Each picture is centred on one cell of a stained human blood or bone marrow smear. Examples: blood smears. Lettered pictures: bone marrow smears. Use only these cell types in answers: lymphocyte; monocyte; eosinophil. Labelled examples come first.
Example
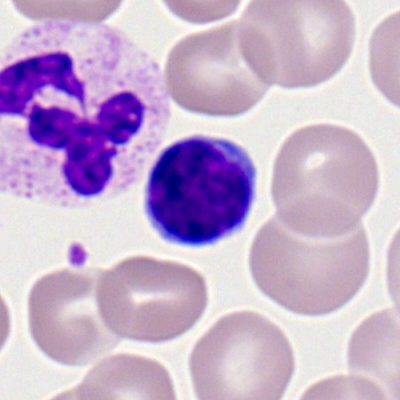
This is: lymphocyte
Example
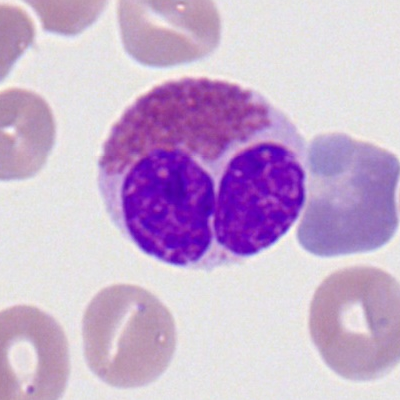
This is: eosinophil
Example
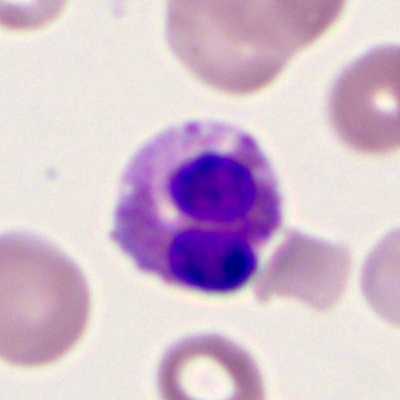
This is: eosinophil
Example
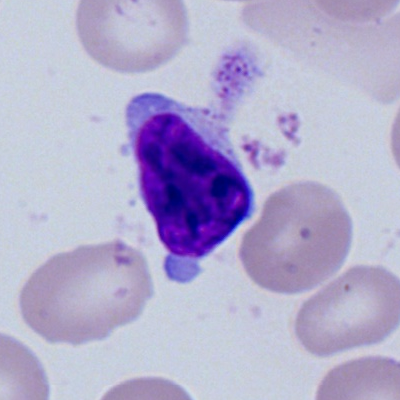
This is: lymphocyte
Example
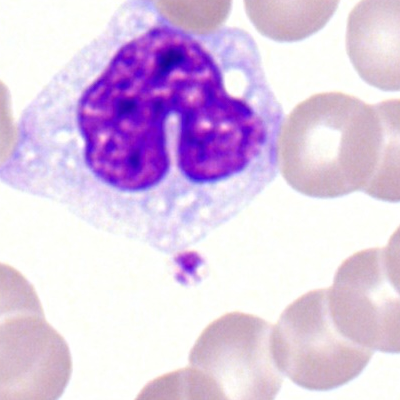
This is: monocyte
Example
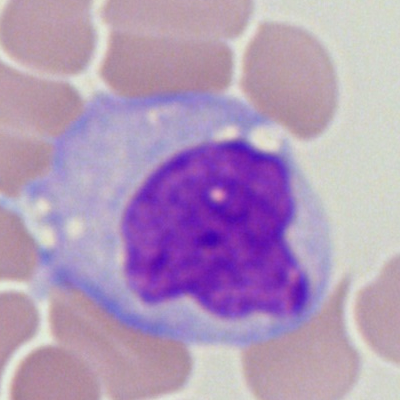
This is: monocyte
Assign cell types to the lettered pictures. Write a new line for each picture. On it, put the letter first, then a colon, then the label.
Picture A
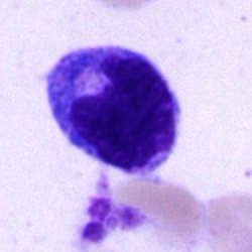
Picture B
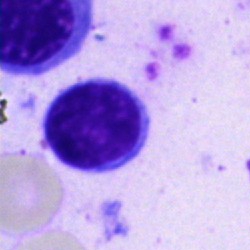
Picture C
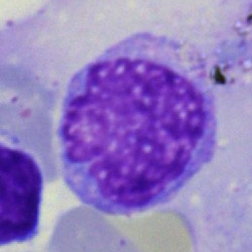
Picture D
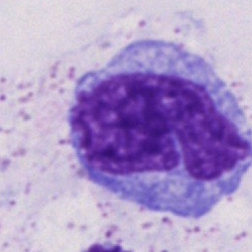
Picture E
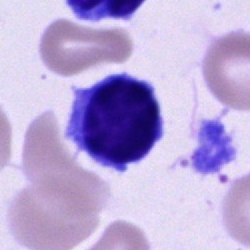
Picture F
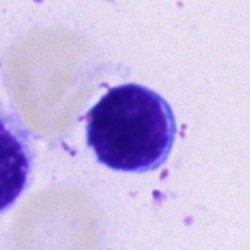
A: monocyte
B: lymphocyte
C: monocyte
D: monocyte
E: lymphocyte
F: lymphocyte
